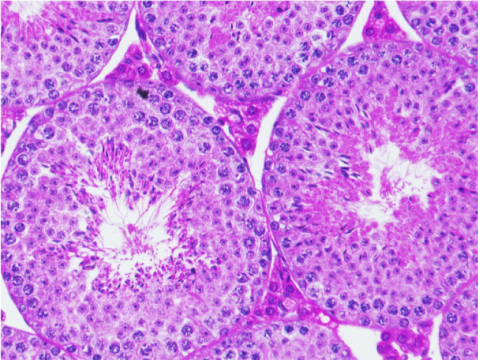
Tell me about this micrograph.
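Here are several seminiferous tubules of the testis, each with a thick, many-layered lining of germ cells around a central lumen. At the outer edge, against the thin pink boundary, sit small cells with dark nuclei. Further in are larger cells with round purple nuclei and pale cytoplasm. Nearest the lumen lie bundles of slender, dark, elongated nuclei, and fine pink filaments fill the middle of the tubules. Between the tubules, small clusters of interstitial cells with pink cytoplasm occupy the gaps. The germ cell layers look complete and well ordered.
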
